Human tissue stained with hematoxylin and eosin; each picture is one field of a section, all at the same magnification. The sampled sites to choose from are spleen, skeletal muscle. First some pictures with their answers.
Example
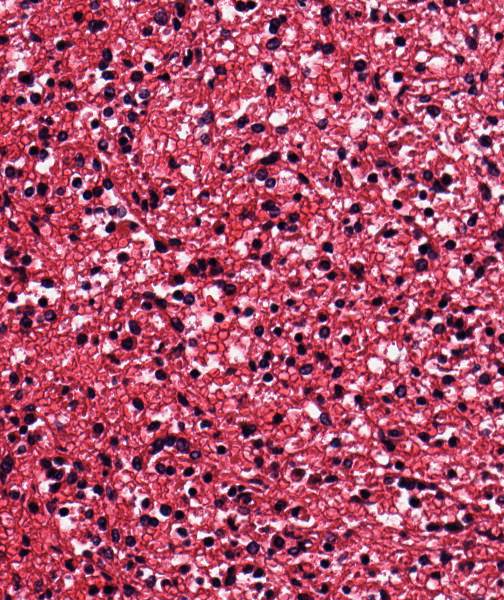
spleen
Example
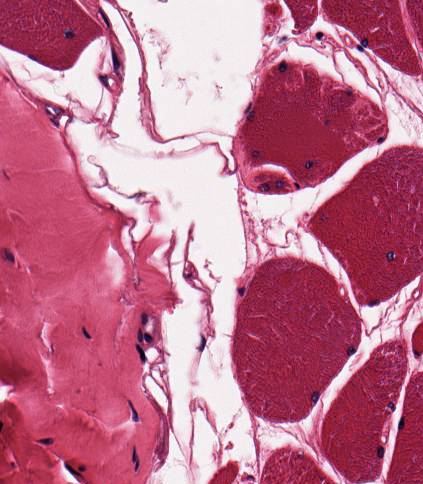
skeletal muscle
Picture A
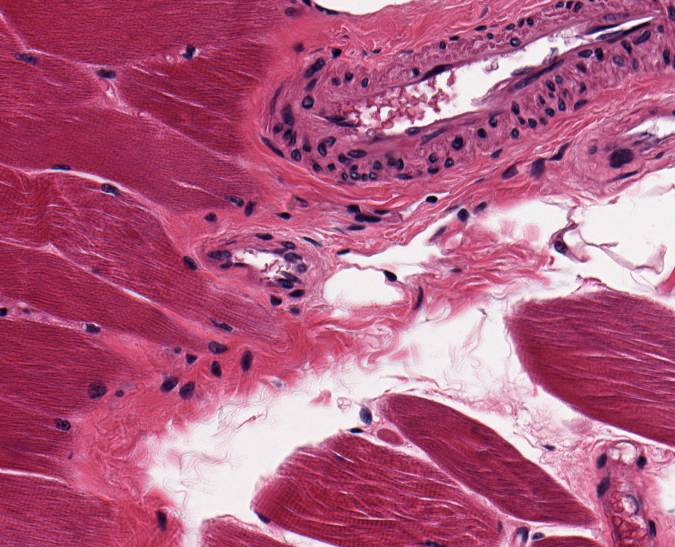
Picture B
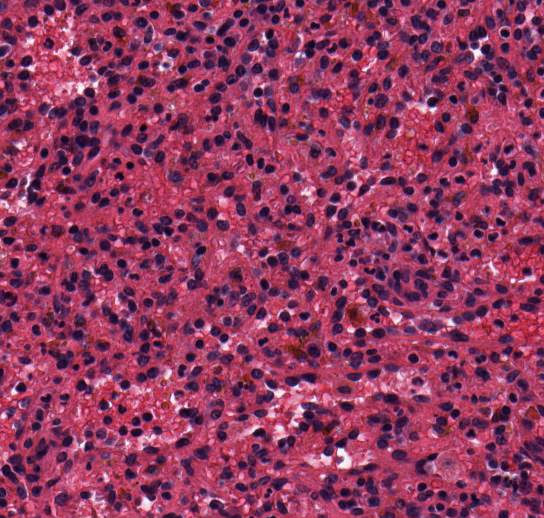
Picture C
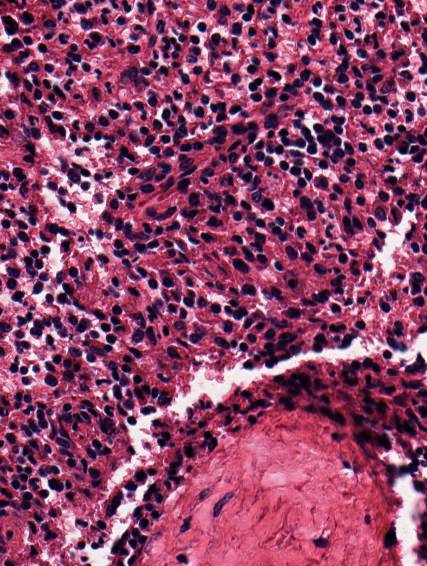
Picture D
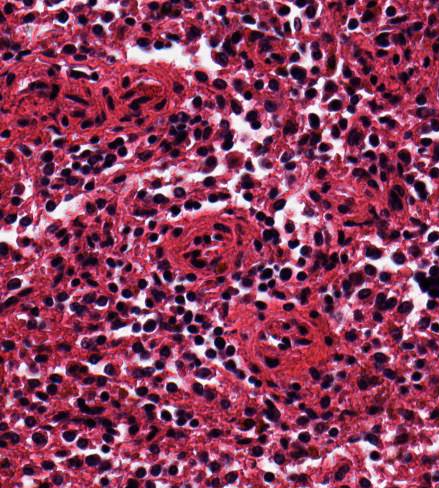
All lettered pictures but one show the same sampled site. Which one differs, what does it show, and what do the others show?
A: skeletal muscle; all the others: spleen.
